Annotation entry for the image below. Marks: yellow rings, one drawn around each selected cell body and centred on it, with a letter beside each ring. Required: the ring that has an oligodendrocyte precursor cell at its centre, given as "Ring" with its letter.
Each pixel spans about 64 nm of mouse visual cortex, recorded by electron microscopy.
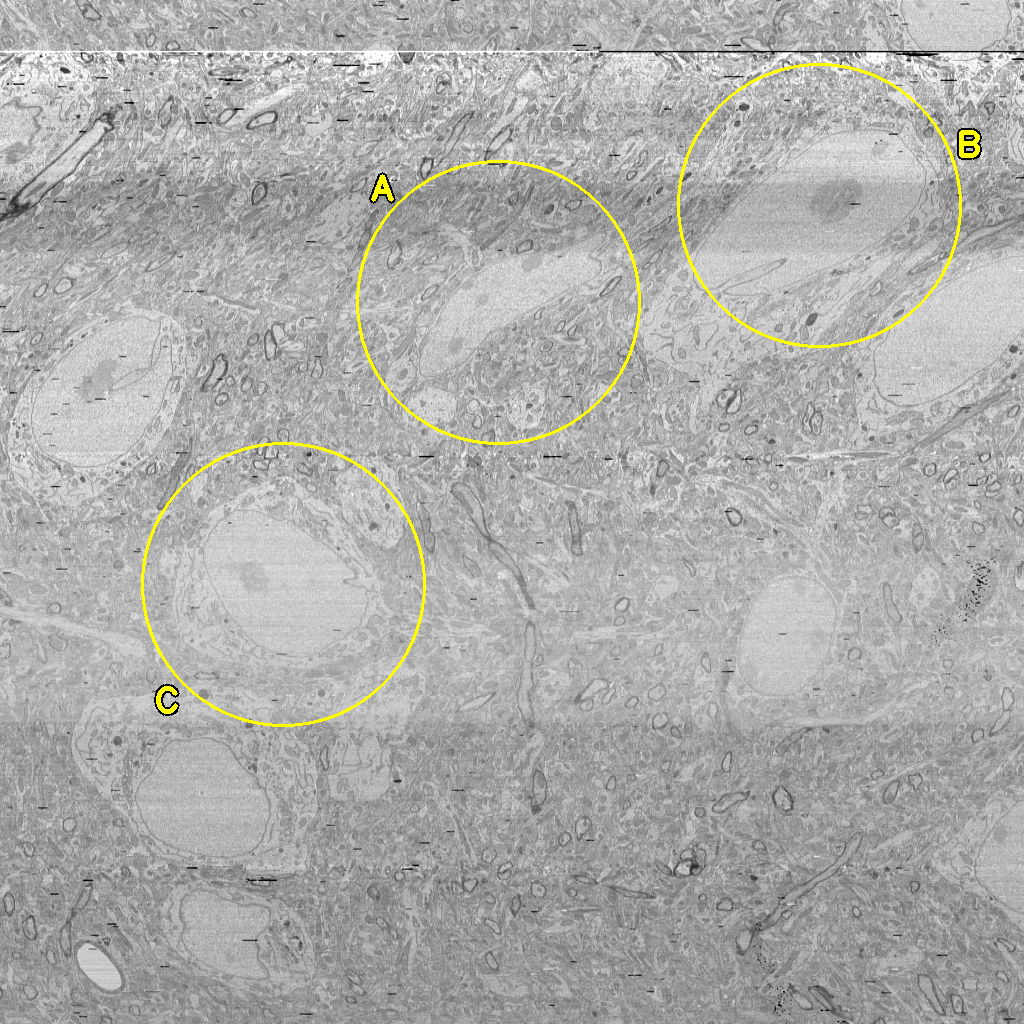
Ring A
